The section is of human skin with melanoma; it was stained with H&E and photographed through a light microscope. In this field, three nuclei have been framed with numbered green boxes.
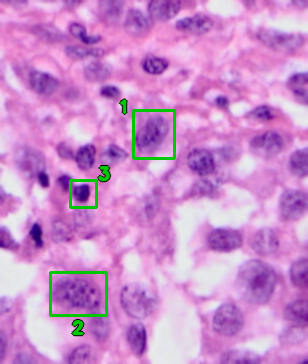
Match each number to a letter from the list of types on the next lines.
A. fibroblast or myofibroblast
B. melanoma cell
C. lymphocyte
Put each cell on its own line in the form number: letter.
1: B
2: B
3: C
